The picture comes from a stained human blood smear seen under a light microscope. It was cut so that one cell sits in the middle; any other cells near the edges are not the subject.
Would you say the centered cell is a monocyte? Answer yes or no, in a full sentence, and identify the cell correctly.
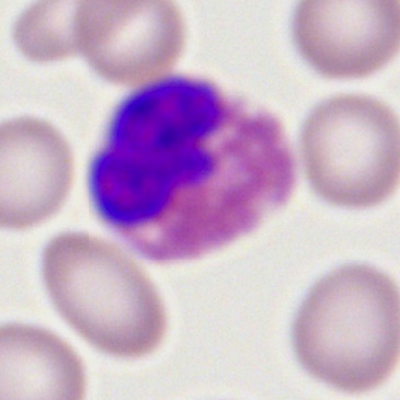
No, it is an eosinophil that sits in the middle, not a monocyte.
